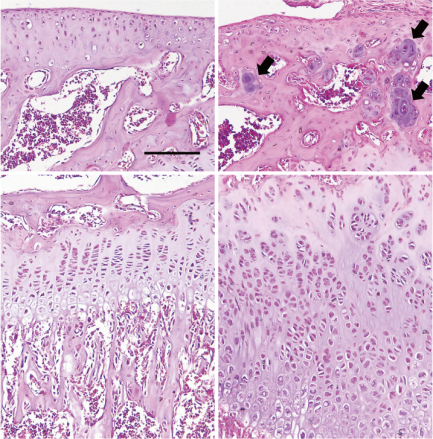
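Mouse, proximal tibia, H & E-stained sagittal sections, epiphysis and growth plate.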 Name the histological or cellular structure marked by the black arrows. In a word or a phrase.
Dense chondrocyte clusters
